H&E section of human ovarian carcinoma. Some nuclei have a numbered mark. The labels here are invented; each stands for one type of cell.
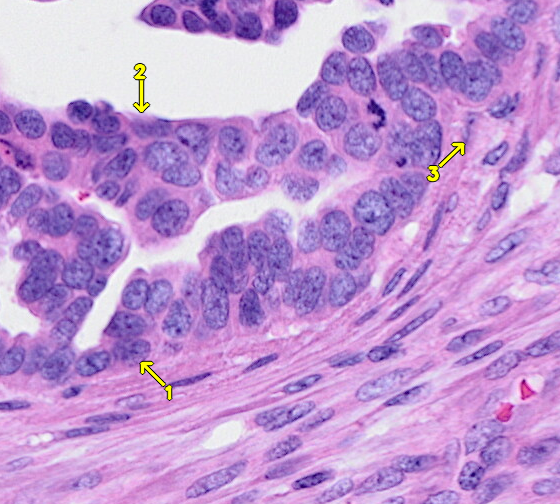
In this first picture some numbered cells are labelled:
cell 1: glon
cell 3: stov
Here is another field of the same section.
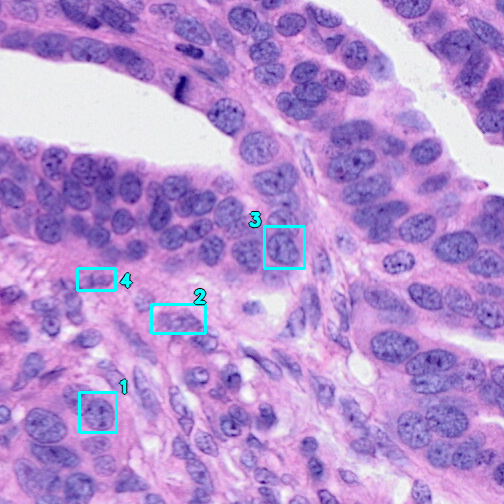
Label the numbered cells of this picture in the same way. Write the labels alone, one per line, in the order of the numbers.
glon
stov
glon
stov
